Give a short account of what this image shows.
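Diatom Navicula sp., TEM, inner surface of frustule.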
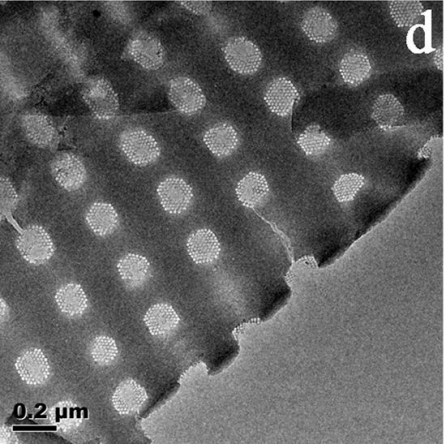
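Rounded pores lie in rows with fairly even spacing between them. Each pore is filled by a finer lattice of tiny openings, giving it a sieve-like, honeycomb look. The edge of the sheet at lower right is broken into scalloped notches that follow the rows of pores.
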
